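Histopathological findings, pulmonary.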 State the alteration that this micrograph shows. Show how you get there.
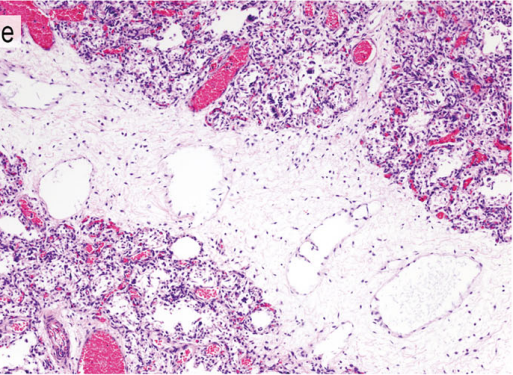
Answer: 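Lymphatic vessels in the interlobular septa are dilated. Several wide, thin-walled, empty channels lie within the pale septal band. The channels contain no red blood cells.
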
